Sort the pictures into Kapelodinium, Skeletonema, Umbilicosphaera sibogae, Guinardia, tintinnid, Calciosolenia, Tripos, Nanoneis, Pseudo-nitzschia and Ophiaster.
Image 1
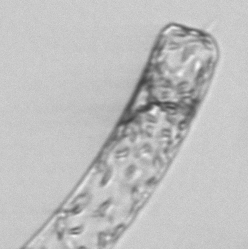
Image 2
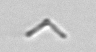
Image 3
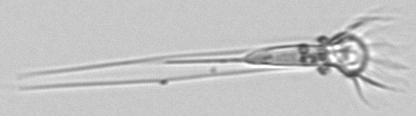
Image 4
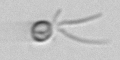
Guinardia: 1
Nanoneis: 2
Tintinnids: 3
Ophiaster: 4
